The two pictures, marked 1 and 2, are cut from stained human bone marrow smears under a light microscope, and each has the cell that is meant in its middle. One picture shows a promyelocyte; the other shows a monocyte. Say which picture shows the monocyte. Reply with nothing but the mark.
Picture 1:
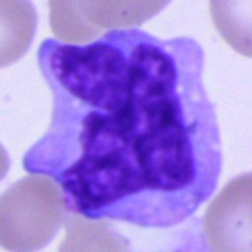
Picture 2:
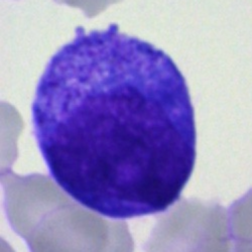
1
